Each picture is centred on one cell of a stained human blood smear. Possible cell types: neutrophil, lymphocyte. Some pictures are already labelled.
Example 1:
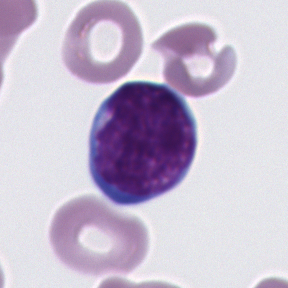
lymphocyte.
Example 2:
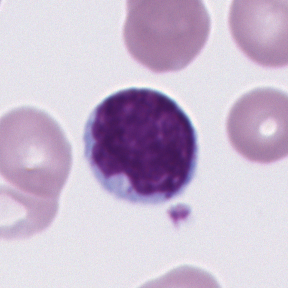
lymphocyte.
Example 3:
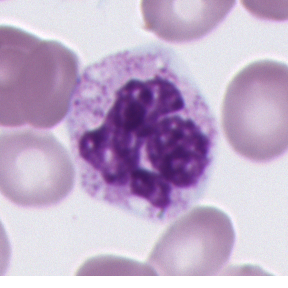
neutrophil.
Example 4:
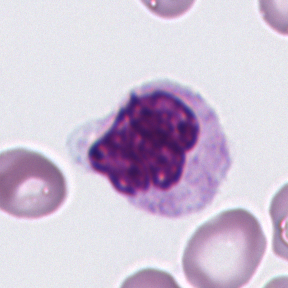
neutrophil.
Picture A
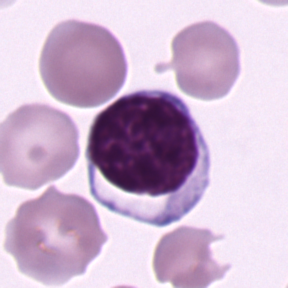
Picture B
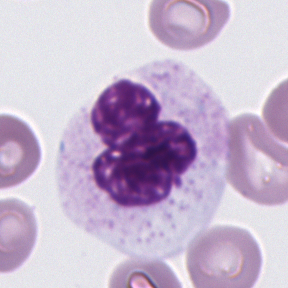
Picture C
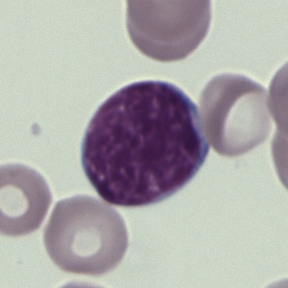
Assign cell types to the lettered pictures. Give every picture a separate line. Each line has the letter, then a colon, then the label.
A: lymphocyte.
B: neutrophil.
C: lymphocyte.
